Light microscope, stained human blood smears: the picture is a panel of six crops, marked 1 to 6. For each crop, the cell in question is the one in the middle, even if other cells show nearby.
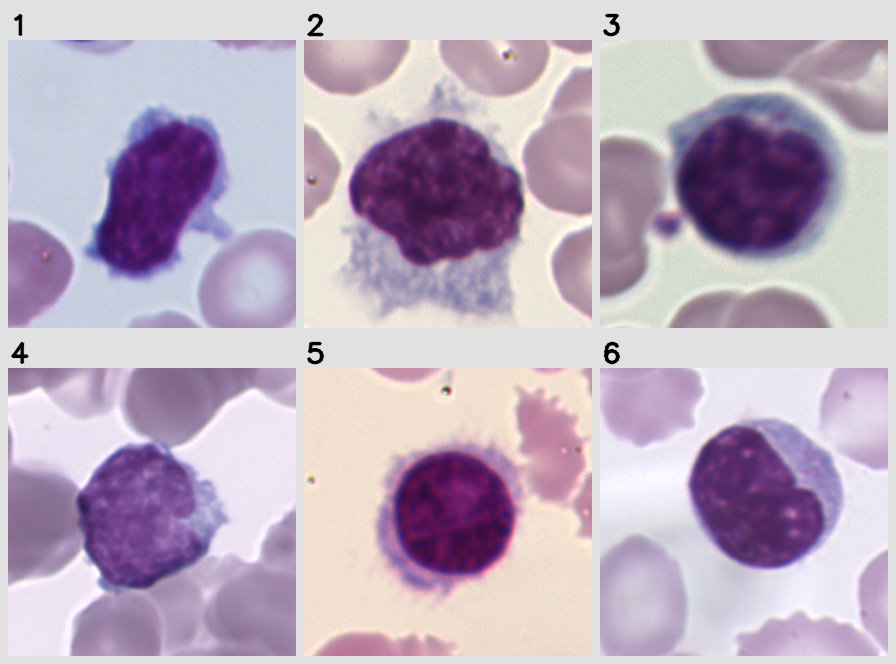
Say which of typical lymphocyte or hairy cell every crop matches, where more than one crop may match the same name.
1: typical lymphocyte
2: hairy cell
3: typical lymphocyte
4: typical lymphocyte
5: hairy cell
6: typical lymphocyte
